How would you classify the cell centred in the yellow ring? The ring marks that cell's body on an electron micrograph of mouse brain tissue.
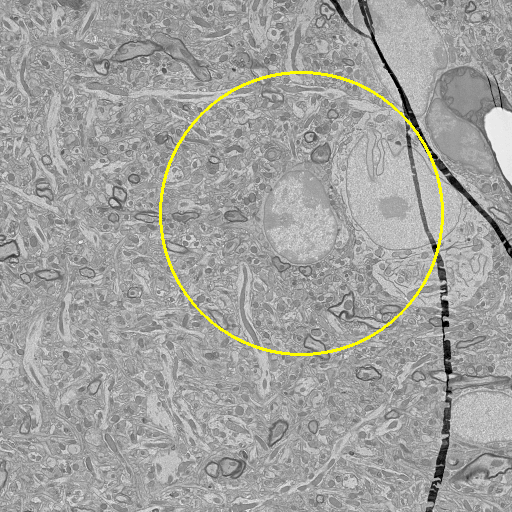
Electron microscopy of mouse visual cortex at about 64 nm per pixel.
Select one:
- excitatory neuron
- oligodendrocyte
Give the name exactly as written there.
oligodendrocyte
